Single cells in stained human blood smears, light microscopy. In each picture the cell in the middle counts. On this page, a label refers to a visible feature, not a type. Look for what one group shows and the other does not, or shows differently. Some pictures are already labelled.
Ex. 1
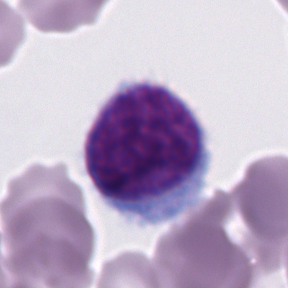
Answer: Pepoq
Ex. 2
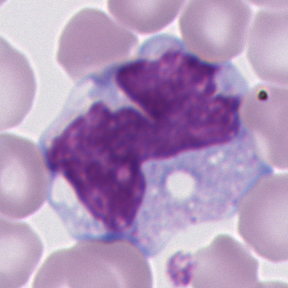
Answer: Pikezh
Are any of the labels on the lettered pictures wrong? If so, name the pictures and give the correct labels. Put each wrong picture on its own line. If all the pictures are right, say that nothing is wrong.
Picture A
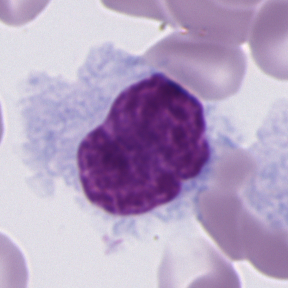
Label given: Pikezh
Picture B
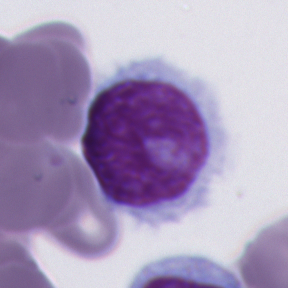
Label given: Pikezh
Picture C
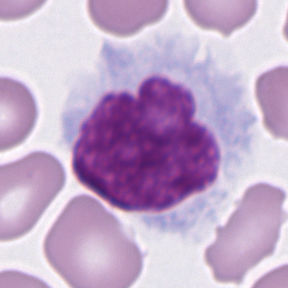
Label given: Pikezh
B: change Pikezh to Pepoq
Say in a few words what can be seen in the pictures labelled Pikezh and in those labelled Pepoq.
In Pikezh: abundant cytoplasm. In Pepoq: scant cytoplasm.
